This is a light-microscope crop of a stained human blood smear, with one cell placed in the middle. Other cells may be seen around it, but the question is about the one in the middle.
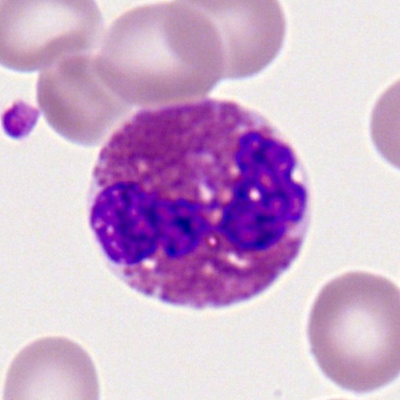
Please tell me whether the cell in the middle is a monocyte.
no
